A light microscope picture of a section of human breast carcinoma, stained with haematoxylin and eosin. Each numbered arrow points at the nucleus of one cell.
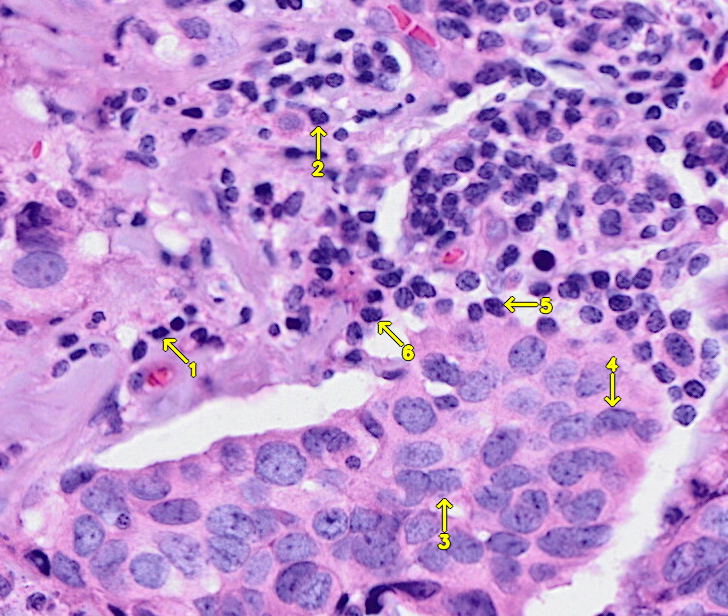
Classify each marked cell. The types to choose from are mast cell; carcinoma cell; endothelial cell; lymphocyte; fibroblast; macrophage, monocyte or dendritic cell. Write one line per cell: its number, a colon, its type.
1: lymphocyte
2: lymphocyte
3: carcinoma cell
4: carcinoma cell
5: lymphocyte
6: lymphocyte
